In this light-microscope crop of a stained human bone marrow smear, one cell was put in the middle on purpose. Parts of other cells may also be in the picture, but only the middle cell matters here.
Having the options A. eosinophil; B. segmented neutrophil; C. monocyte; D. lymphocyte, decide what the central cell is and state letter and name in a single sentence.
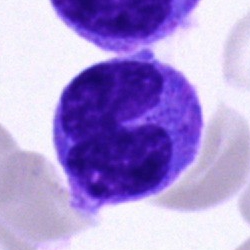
Option C is to be chosen, as the central cell is a monocyte.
